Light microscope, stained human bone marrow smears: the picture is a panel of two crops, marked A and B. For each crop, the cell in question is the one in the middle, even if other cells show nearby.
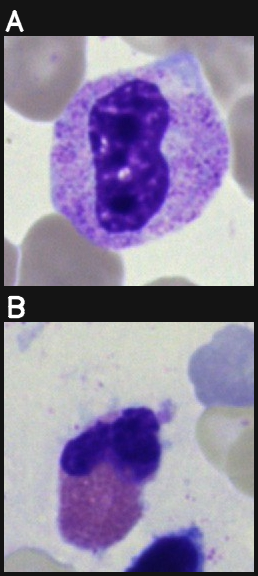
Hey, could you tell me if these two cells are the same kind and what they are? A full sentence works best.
No, crop A contains a metamyelocyte; an eosinophil is what crop B contains.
